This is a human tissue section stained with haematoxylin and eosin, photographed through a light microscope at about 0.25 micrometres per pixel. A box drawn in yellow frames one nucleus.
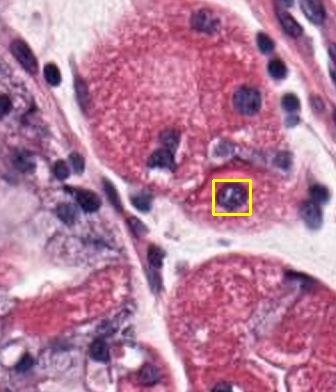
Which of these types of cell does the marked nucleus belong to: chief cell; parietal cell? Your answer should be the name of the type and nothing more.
parietal cell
